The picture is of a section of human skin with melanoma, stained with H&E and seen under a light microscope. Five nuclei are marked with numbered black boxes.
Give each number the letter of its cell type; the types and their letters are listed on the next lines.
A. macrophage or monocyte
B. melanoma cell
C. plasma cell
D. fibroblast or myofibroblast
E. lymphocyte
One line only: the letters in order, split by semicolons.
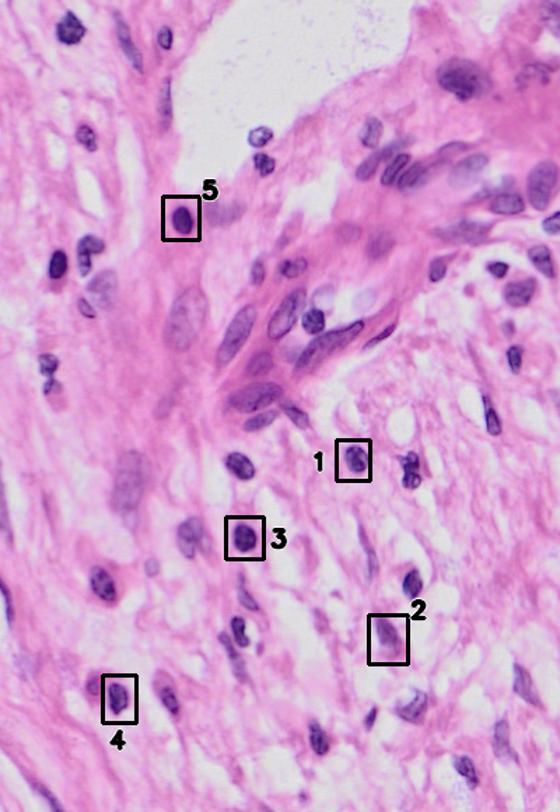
E; D; C; E; E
